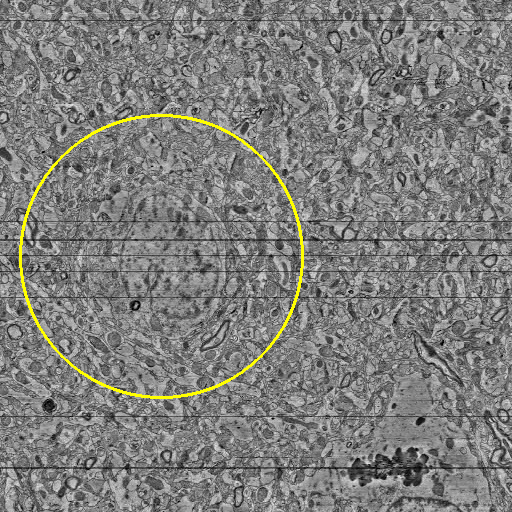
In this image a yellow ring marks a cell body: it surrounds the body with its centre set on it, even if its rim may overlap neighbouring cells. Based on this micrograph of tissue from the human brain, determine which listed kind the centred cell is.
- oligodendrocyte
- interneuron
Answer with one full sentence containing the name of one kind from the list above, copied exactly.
It is an interneuron whose body the yellow ring encloses at its centre.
